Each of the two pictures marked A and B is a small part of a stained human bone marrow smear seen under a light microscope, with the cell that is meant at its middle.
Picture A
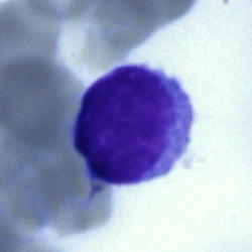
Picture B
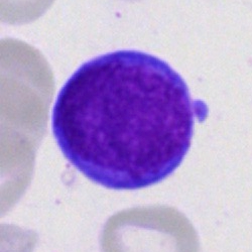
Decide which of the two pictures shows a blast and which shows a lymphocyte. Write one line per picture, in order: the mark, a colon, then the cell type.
A: lymphocyte
B: blast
